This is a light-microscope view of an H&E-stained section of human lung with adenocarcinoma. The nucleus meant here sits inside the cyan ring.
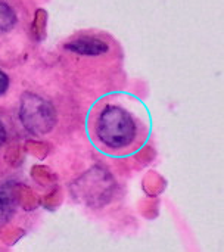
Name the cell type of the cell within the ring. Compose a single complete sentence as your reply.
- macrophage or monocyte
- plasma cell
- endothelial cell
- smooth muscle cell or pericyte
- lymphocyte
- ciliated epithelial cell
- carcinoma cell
Students should answer that the cell within the ring is a macrophage or monocyte.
